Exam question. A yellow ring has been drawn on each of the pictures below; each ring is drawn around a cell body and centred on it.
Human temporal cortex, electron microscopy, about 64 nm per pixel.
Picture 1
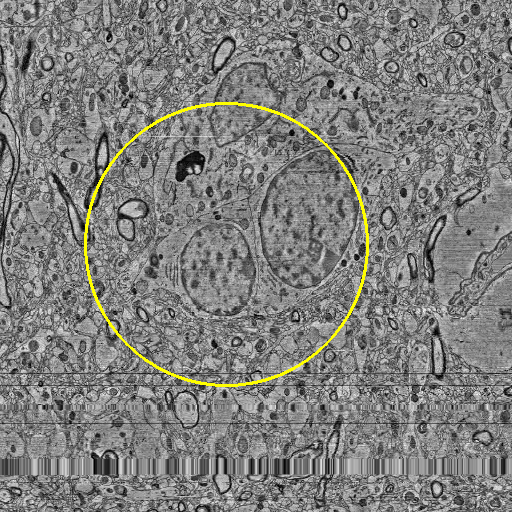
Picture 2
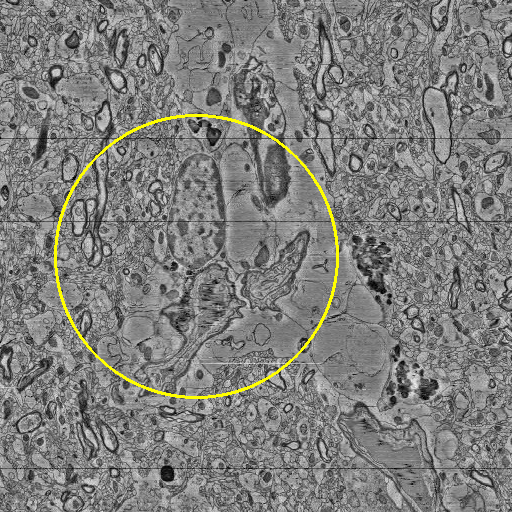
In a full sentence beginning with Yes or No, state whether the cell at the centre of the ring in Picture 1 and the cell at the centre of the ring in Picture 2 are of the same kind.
Yes, the two cells are of the same kind.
